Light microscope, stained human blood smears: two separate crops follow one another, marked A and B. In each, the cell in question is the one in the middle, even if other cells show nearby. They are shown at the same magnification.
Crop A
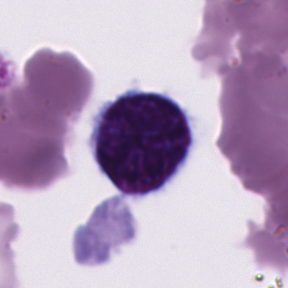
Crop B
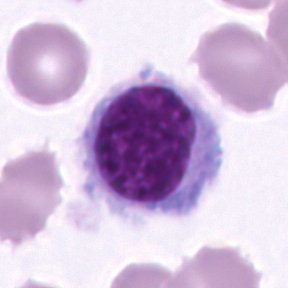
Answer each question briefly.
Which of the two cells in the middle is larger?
B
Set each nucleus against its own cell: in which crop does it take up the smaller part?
B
